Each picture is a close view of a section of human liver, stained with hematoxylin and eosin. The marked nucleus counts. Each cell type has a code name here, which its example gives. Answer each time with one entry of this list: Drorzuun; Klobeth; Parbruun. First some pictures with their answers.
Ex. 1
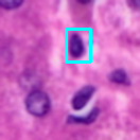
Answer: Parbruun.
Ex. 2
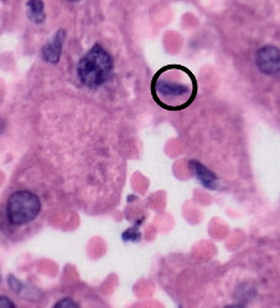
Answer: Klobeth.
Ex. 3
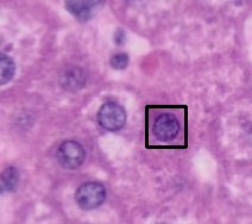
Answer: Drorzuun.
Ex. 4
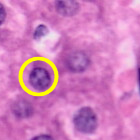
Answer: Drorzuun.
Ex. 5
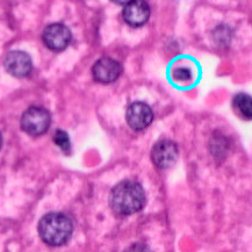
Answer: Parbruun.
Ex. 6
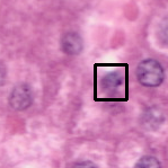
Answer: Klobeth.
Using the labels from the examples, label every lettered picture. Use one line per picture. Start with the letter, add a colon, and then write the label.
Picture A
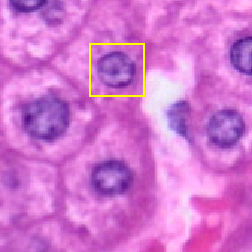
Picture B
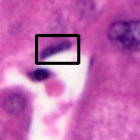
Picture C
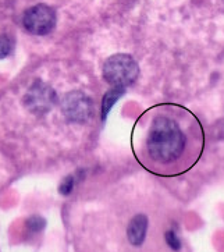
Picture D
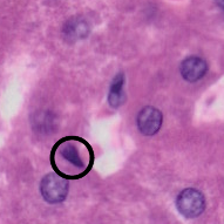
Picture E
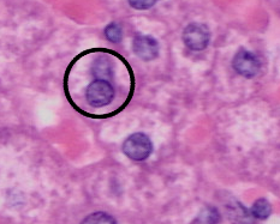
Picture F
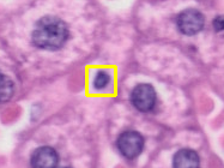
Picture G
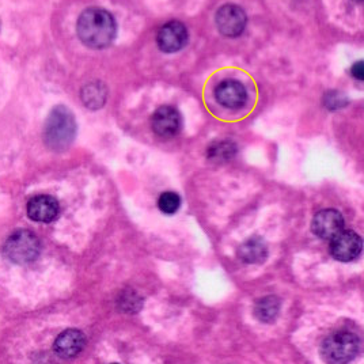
A: Drorzuun.
B: Klobeth.
C: Drorzuun.
D: Klobeth.
E: Drorzuun.
F: Parbruun.
G: Drorzuun.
